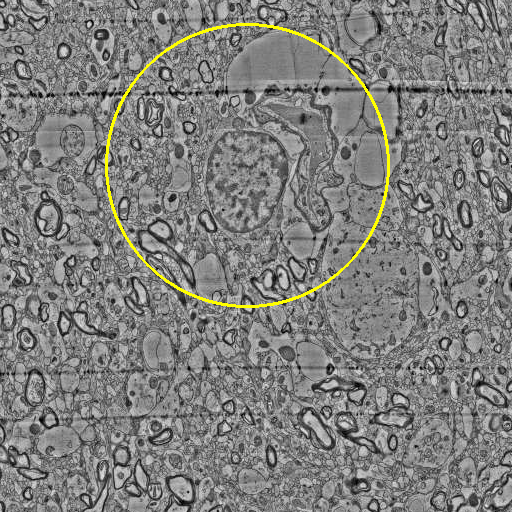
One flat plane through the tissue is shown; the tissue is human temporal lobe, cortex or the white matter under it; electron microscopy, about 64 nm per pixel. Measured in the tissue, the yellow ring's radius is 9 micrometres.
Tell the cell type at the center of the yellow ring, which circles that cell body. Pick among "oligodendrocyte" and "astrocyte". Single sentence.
The ring is centered on the body of an oligodendrocyte.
